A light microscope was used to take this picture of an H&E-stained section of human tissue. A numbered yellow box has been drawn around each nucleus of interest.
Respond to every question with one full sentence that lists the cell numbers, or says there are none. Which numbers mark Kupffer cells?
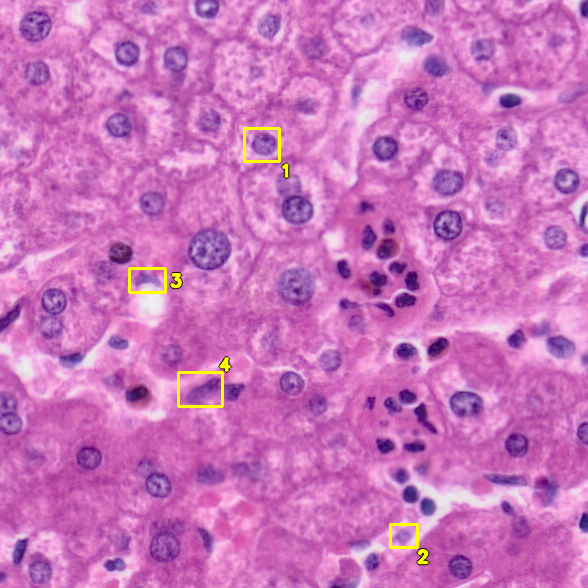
In short, the numbered cells 2 and 4 are Kupffer cells.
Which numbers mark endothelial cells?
As for the numbered cells, only cell 3 is an endothelial cell.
